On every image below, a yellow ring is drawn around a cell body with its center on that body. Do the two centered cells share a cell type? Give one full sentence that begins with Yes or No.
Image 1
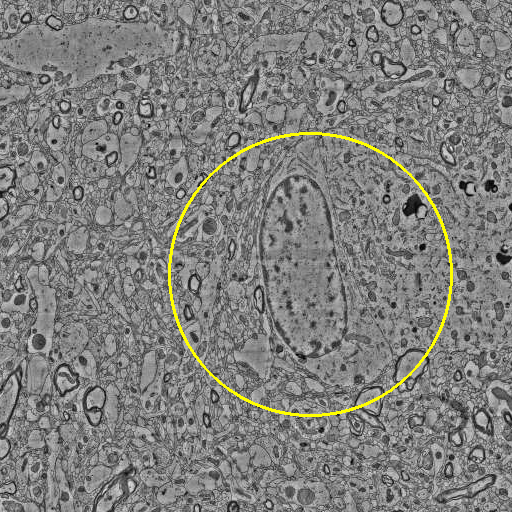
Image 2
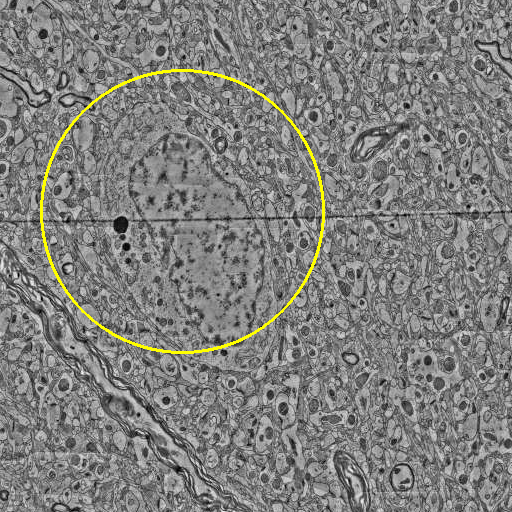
No, the centered cells in the two images are of two separate cell types.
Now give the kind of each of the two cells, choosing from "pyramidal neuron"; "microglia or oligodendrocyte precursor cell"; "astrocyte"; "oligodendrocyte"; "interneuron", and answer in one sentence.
The cell in the first picture is a microglial cell or oligodendrocyte precursor cell, and the cell in the second is an interneuron.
